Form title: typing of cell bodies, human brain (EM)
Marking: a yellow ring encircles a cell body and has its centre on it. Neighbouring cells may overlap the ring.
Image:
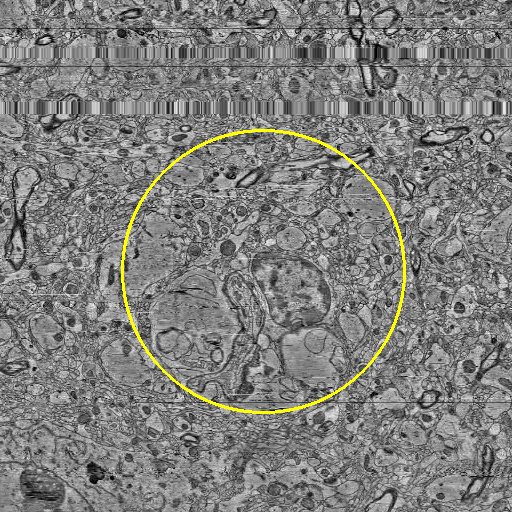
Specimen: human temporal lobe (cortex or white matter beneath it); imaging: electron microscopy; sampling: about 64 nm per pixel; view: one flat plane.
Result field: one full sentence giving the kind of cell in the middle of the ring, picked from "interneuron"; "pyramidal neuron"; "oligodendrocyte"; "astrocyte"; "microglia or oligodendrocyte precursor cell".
In the picture, the ring is centred on a microglial cell or oligodendrocyte precursor cell, whose cell body it encircles.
